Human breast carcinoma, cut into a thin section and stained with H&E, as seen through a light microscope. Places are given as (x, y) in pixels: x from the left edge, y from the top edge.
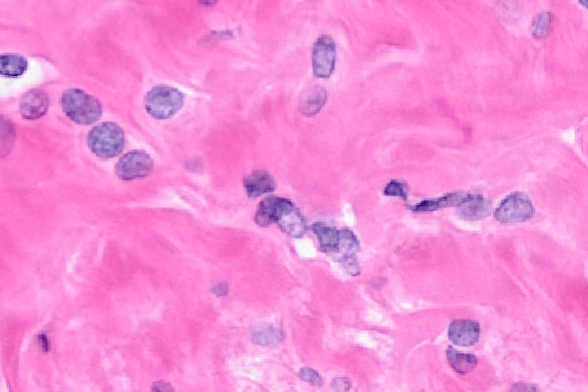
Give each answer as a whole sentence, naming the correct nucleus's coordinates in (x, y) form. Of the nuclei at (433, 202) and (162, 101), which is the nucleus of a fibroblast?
Of the two nuclei, the one at (433, 202) belongs to a fibroblast.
